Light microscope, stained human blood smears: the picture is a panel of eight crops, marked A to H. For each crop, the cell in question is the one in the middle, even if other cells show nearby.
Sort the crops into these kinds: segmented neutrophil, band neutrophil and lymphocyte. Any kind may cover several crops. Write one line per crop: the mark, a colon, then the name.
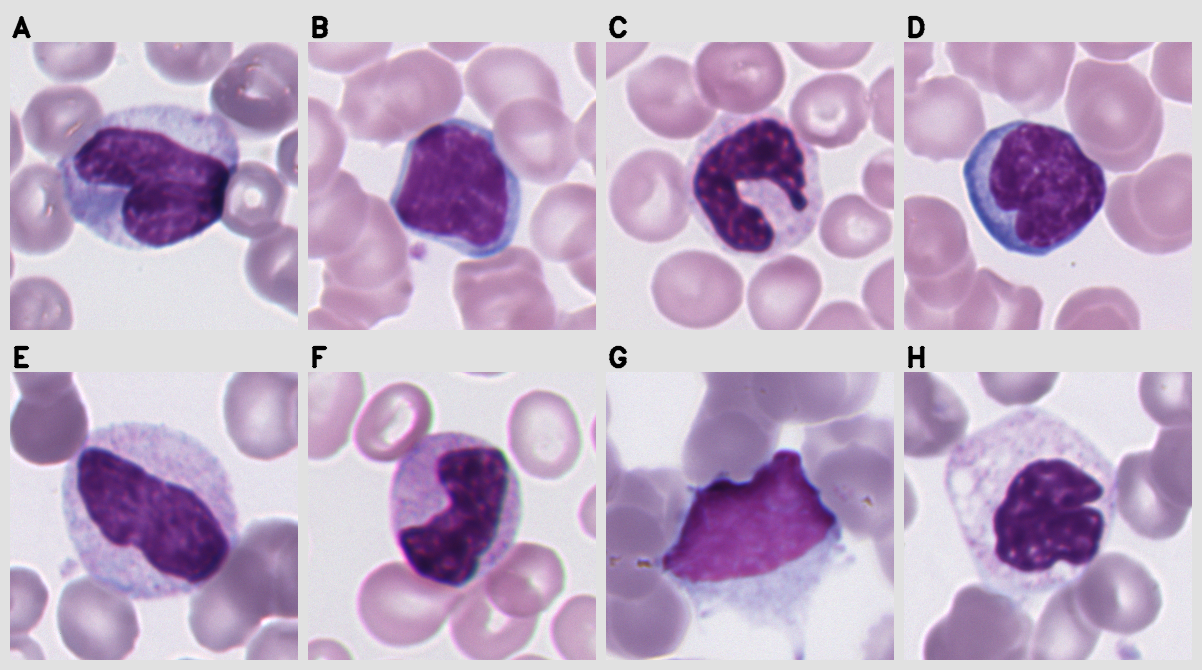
A: band neutrophil
B: lymphocyte
C: band neutrophil
D: lymphocyte
E: band neutrophil
F: band neutrophil
G: lymphocyte
H: band neutrophil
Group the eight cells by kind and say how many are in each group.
band neutrophil: 5
lymphocyte: 3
